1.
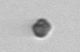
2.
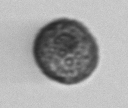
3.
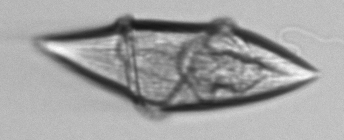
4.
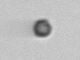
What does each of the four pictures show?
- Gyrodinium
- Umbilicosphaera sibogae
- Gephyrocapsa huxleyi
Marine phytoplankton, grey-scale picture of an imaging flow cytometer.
1: Gephyrocapsa huxleyi
2: Umbilicosphaera sibogae
3: Gyrodinium
4: Gephyrocapsa huxleyi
